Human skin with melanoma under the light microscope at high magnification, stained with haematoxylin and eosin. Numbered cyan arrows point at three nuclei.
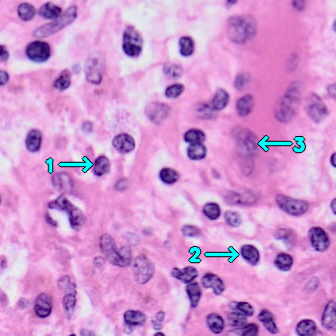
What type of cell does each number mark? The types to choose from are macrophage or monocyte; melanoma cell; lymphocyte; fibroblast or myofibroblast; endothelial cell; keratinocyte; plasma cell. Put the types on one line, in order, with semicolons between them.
lymphocyte; lymphocyte; endothelial cell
